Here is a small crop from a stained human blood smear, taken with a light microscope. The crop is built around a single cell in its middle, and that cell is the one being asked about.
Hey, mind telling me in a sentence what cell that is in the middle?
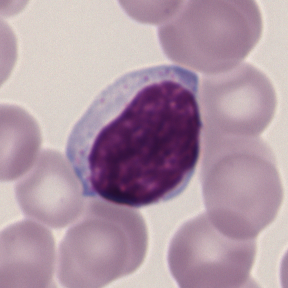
Centrally within this crop lies a large granular lymphocyte.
